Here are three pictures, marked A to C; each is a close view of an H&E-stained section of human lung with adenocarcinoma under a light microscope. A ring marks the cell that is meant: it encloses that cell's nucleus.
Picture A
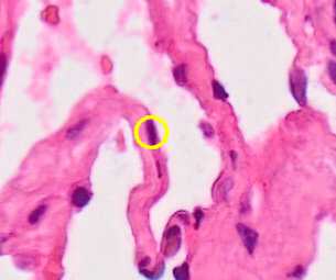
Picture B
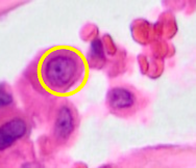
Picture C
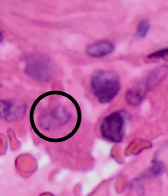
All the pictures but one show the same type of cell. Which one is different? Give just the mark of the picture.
A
